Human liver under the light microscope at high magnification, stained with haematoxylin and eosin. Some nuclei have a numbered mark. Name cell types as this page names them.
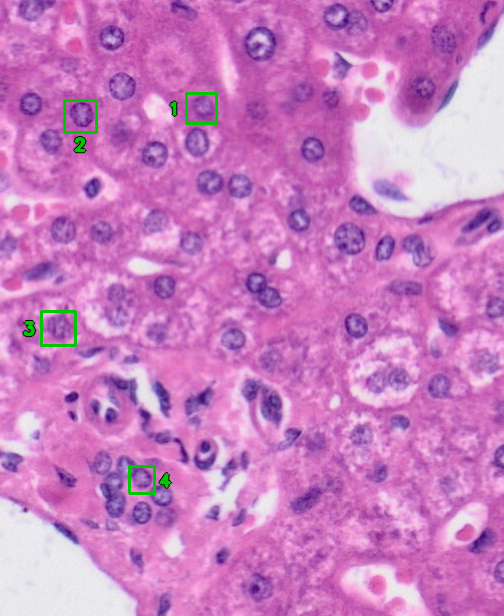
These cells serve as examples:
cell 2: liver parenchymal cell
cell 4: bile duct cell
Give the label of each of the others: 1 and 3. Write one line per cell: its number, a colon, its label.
1: liver parenchymal cell
3: liver parenchymal cell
